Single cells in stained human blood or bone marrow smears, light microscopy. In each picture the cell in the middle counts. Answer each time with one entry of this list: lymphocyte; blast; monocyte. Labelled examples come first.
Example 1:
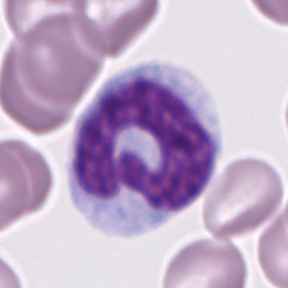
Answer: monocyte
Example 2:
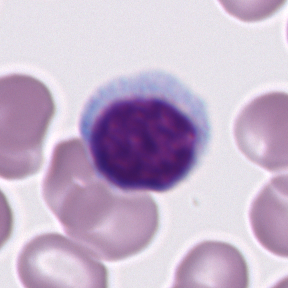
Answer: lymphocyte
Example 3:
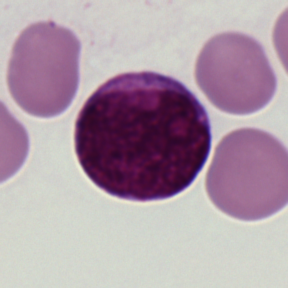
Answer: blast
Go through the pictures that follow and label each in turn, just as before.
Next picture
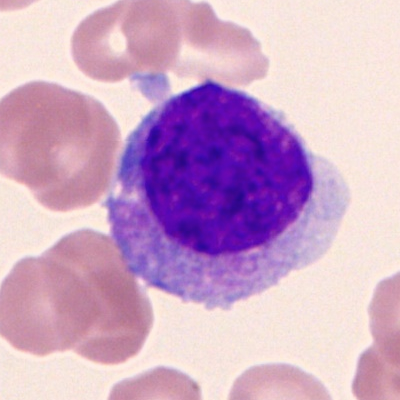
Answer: blast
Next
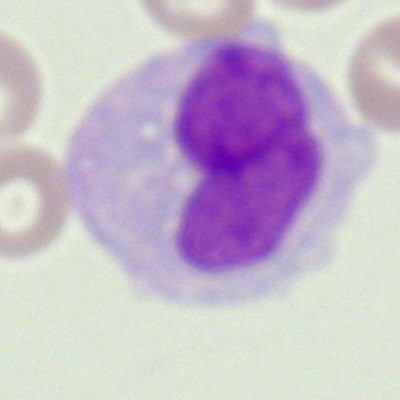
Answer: monocyte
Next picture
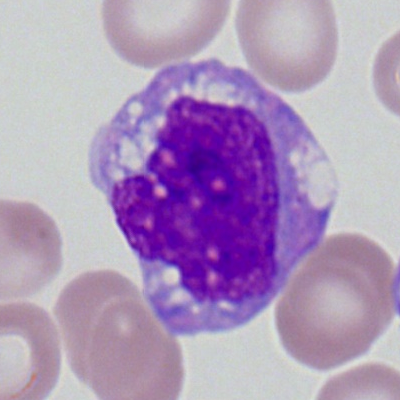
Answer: monocyte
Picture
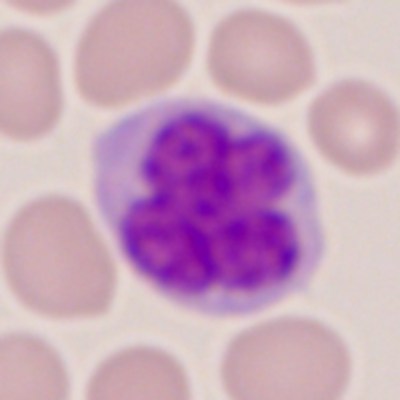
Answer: monocyte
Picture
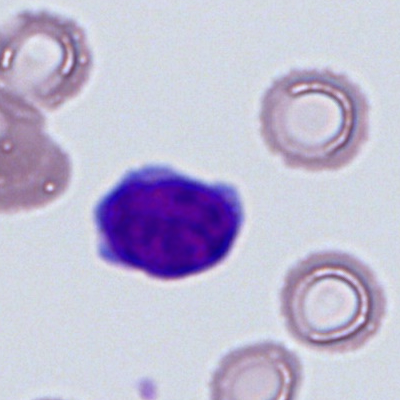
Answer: lymphocyte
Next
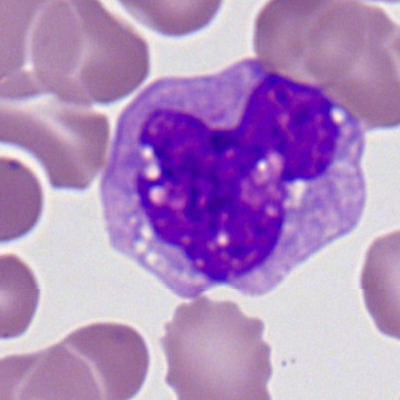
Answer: monocyte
